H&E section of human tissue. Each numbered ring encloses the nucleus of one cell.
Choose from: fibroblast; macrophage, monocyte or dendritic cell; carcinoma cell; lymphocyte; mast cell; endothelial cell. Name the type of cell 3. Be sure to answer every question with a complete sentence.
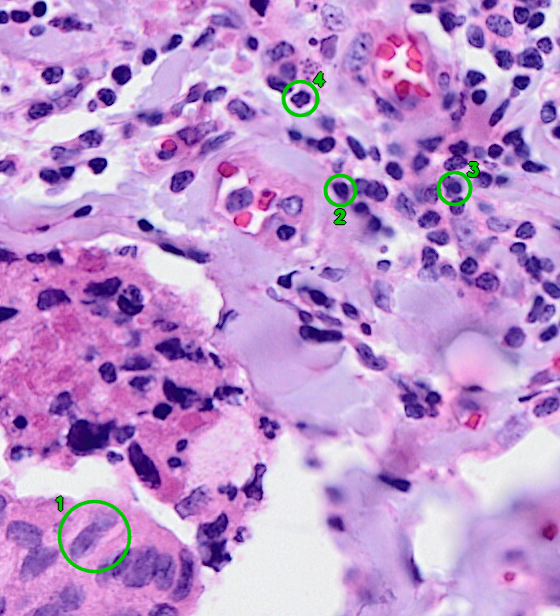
Of the numbered cells, the one labelled 3 is a lymphocyte.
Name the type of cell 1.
The one labeled 1 is a carcinoma cell, to put it simply.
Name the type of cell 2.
The nucleus labeled 2 belongs to a lymphocyte.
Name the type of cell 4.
The cell that goes by number 4 is a lymphocyte.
